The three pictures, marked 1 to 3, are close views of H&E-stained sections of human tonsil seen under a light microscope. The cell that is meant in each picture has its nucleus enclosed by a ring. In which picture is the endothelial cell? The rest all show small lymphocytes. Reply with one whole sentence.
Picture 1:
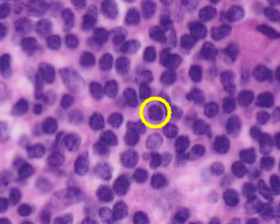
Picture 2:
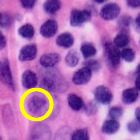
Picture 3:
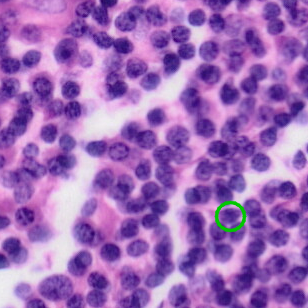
The endothelial cell is the one in picture 2.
